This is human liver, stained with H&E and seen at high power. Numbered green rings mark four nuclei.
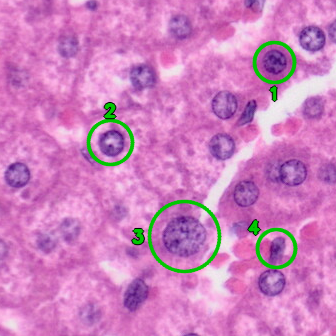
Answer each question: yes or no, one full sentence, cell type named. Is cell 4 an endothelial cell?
Yes, the cell distinguished by number 4 is an endothelial cell.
